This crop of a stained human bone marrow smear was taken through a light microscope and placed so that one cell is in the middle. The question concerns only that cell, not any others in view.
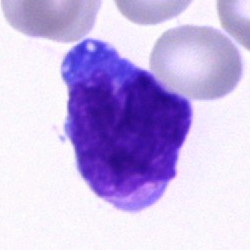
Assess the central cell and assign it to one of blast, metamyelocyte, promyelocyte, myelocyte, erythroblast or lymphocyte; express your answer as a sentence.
The cell sitting right in the middle is a blast.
